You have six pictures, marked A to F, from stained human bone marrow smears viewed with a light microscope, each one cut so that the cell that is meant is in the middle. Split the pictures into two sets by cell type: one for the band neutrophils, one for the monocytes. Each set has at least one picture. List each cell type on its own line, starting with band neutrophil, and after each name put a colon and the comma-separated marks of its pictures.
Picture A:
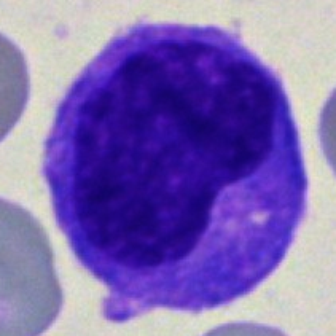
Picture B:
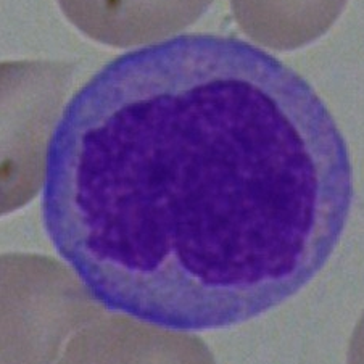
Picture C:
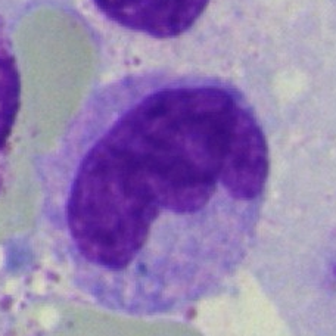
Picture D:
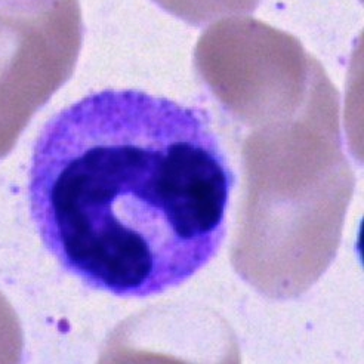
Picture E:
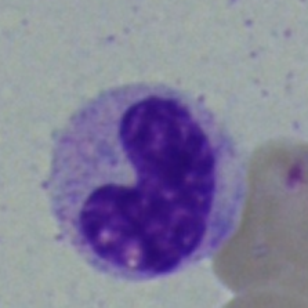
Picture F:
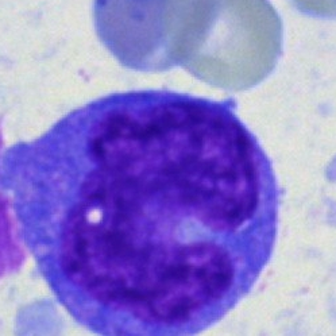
band neutrophil: D, E
monocyte: A, B, C, F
